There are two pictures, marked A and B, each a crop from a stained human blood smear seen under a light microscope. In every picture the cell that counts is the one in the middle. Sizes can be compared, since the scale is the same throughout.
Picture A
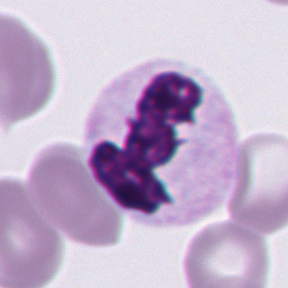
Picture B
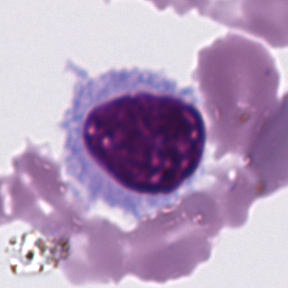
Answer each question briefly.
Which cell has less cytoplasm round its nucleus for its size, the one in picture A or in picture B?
B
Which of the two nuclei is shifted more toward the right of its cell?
B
